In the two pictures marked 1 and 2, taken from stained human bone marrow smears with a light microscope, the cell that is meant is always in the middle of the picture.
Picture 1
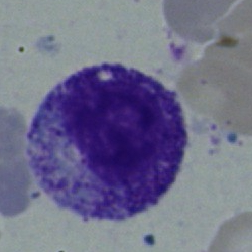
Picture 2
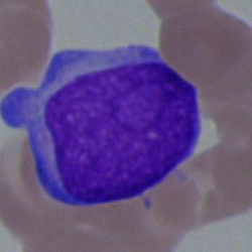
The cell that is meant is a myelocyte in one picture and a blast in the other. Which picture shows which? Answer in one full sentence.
The cell in picture 1 is a myelocyte, and the one in picture 2 is a blast.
